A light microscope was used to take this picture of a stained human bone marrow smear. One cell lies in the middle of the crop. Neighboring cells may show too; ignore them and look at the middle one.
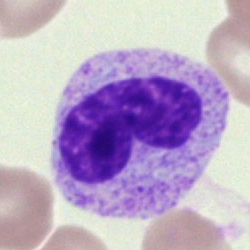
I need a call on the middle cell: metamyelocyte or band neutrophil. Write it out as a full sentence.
The cell at the middle of the crop is recognized as a metamyelocyte.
